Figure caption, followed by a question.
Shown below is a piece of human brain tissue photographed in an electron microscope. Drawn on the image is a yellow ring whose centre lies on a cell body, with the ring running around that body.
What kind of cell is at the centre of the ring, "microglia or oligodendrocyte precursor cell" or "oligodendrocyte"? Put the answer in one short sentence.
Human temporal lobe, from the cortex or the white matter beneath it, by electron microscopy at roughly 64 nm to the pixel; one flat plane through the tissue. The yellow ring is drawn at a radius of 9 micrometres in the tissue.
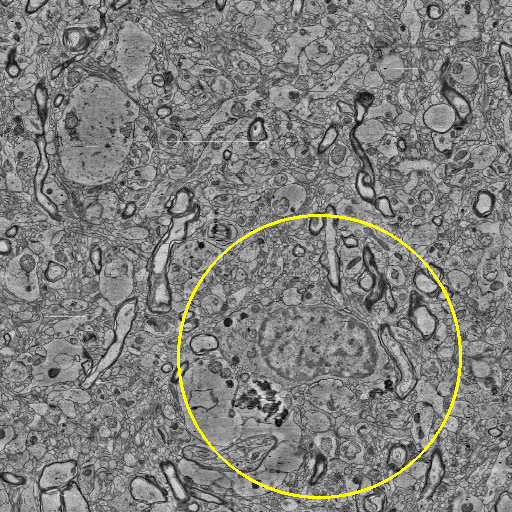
The ring marks the cell body of an oligodendrocyte.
